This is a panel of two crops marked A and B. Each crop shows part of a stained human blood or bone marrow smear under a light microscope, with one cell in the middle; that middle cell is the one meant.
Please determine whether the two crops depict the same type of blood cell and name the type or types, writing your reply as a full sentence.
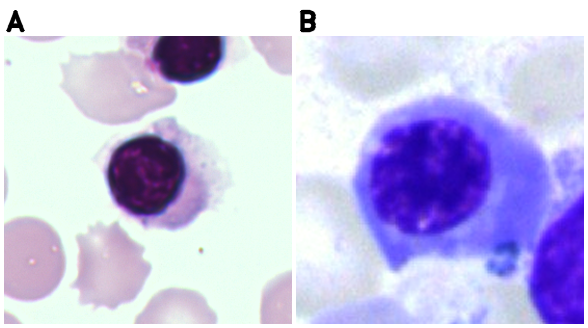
Yes, normoblasts are the central cells in the two crops.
